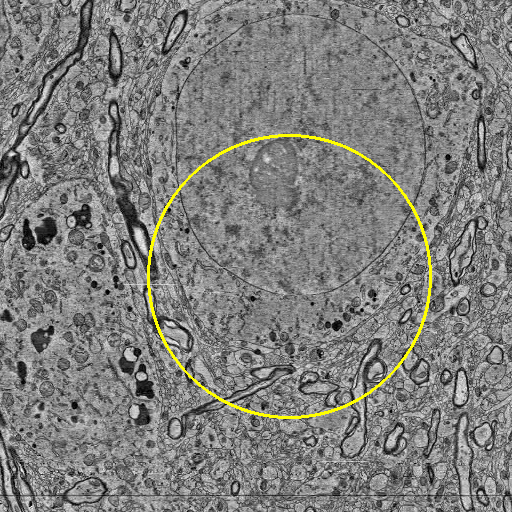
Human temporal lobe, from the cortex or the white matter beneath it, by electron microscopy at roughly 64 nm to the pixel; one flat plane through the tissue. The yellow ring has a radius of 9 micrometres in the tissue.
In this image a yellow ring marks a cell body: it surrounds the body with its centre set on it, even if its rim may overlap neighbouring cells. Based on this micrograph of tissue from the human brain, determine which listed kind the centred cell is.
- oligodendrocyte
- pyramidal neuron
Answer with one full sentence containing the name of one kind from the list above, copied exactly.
It is a pyramidal neuron whose body the yellow ring encloses at its centre.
